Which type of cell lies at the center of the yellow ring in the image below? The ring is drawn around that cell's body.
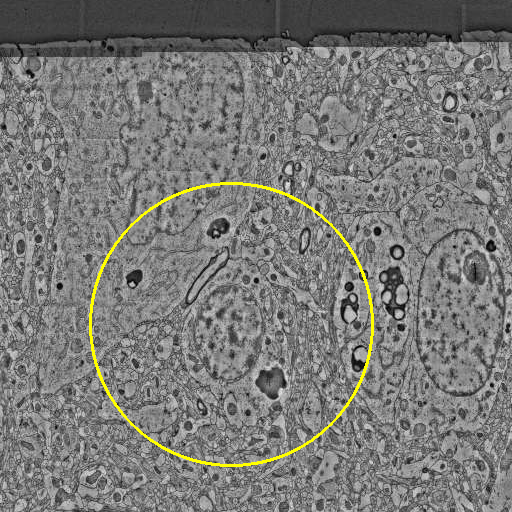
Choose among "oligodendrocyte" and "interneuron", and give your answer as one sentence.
The cell body at the center belongs to an interneuron.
